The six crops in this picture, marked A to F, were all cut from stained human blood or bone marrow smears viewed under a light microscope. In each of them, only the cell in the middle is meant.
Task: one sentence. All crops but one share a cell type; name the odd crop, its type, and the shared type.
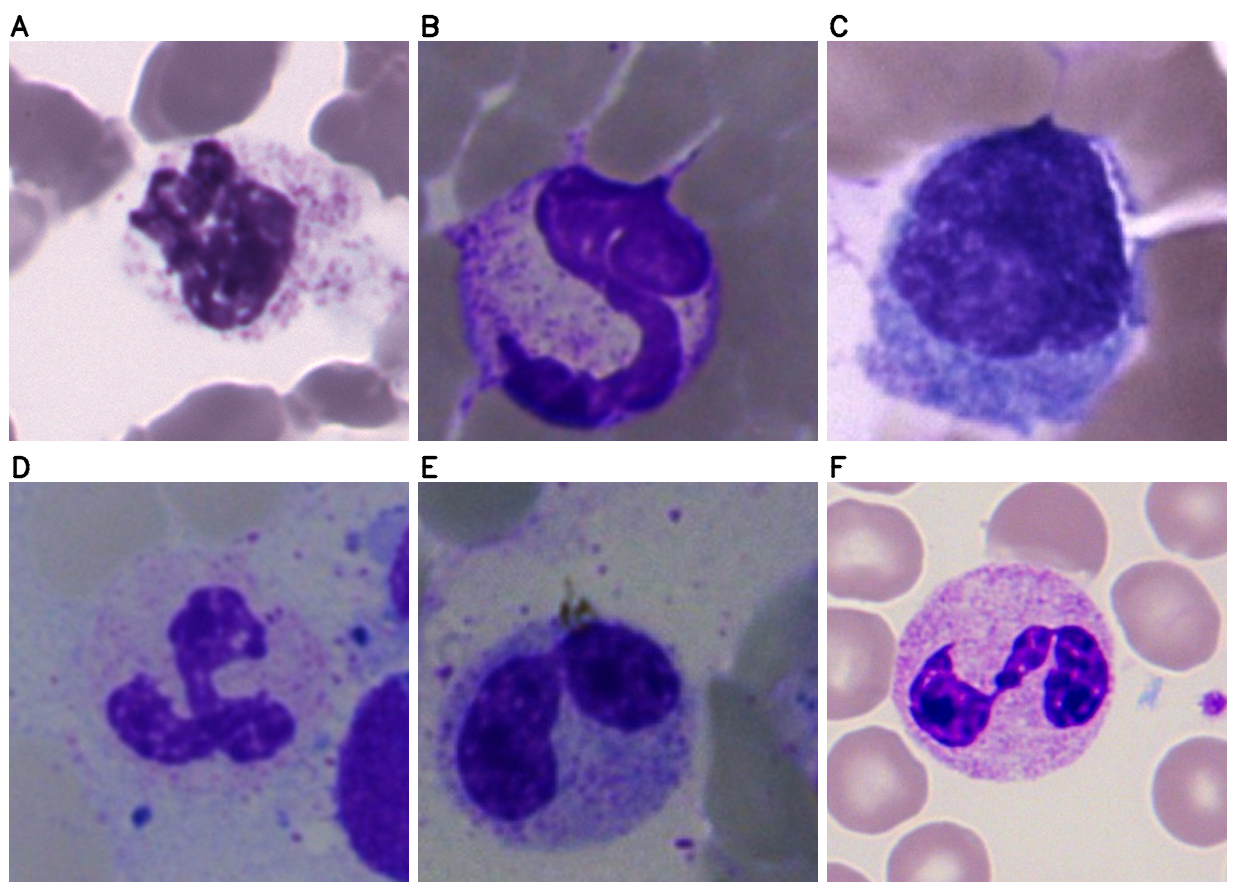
Crop C shows a monocyte, while all of the others show segmented neutrophils.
